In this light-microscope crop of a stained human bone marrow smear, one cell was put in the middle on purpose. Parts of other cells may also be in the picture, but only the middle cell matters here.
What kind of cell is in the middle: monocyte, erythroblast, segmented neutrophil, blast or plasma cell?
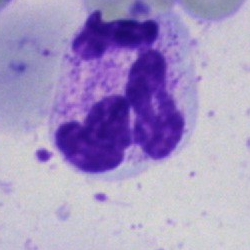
segmented neutrophil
